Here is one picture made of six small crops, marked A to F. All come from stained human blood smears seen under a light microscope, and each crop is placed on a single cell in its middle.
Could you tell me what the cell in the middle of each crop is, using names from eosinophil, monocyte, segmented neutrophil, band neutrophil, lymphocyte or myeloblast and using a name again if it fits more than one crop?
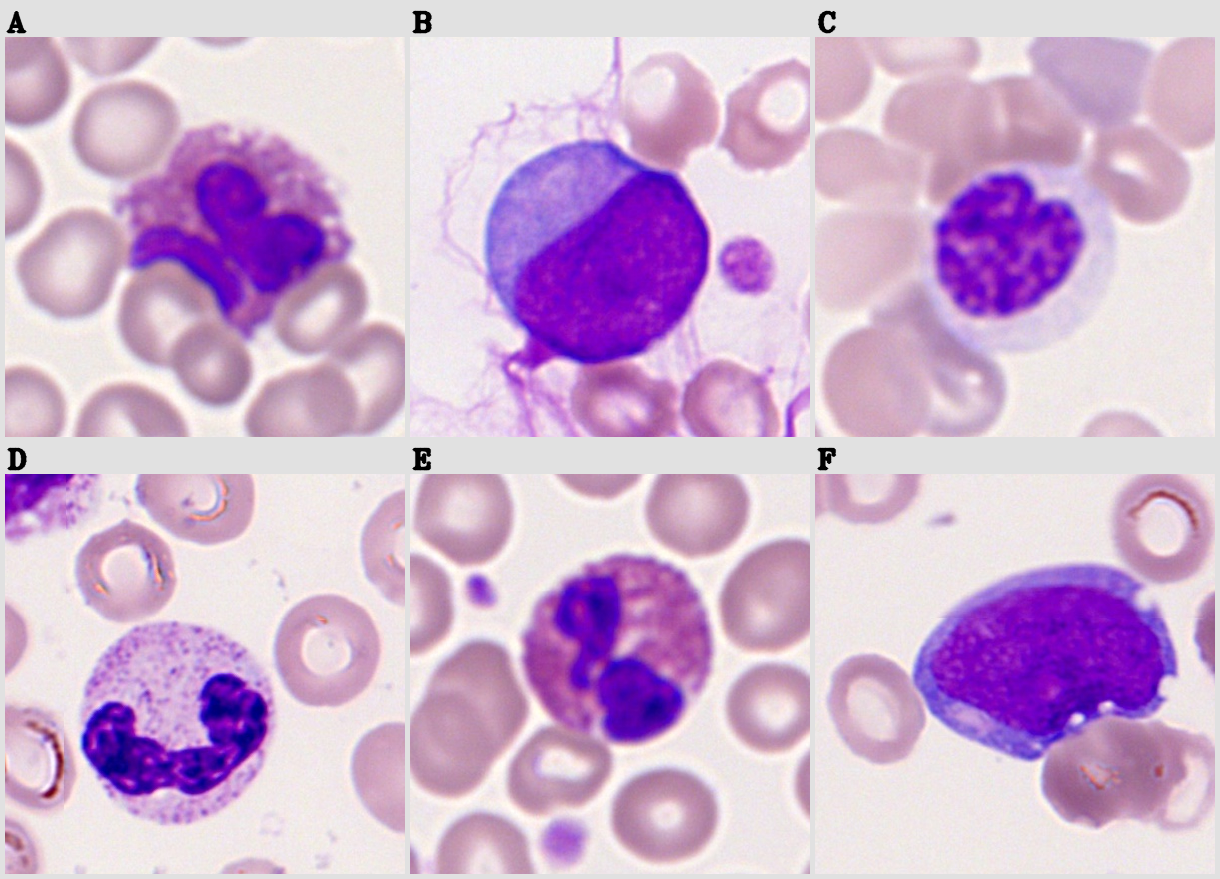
A: eosinophil
B: myeloblast
C: band neutrophil
D: segmented neutrophil
E: eosinophil
F: myeloblast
